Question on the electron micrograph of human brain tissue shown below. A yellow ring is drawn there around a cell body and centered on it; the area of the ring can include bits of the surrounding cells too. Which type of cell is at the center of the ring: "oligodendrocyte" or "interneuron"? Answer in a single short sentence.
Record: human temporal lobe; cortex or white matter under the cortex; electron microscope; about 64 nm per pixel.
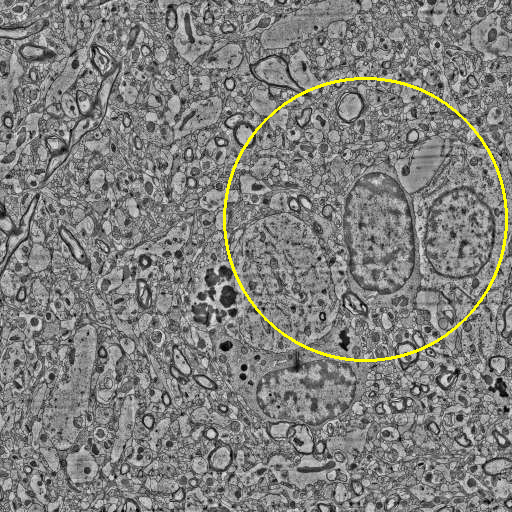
The ring is centered on an oligodendrocyte.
